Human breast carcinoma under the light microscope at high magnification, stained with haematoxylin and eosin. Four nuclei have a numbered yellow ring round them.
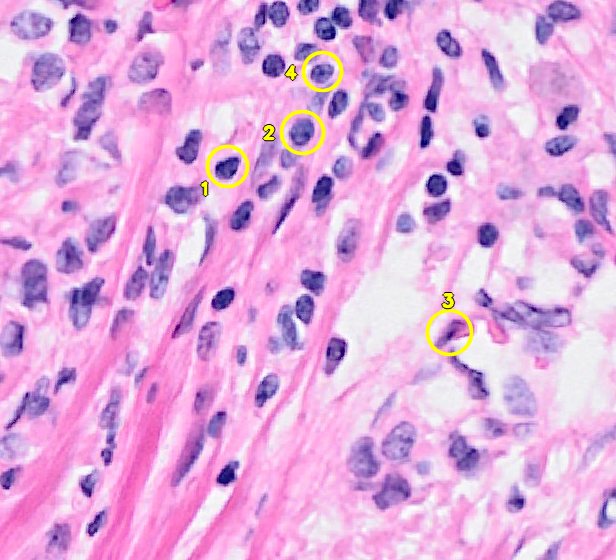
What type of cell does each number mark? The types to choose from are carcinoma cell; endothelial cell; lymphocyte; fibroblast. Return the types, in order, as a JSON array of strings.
["lymphocyte", "lymphocyte", "endothelial cell", "lymphocyte"]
